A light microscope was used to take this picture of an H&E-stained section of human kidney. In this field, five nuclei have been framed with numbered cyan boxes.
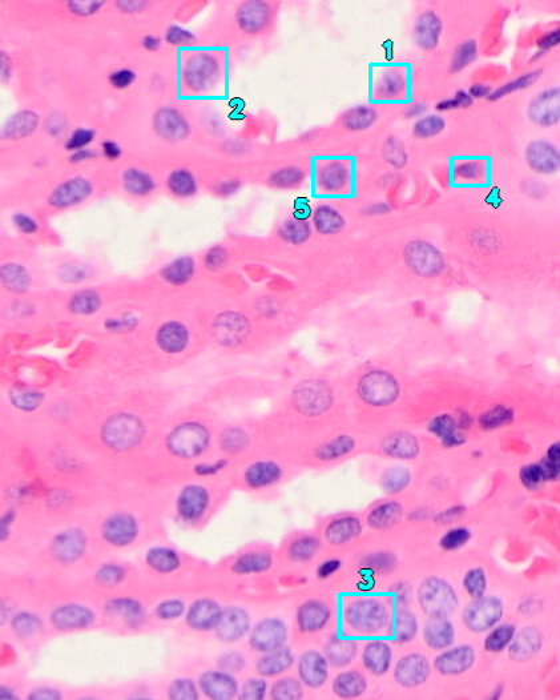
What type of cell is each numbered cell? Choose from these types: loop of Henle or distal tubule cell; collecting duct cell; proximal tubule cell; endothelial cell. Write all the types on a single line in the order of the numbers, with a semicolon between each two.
loop of Henle or distal tubule cell; loop of Henle or distal tubule cell; collecting duct cell; endothelial cell; loop of Henle or distal tubule cell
